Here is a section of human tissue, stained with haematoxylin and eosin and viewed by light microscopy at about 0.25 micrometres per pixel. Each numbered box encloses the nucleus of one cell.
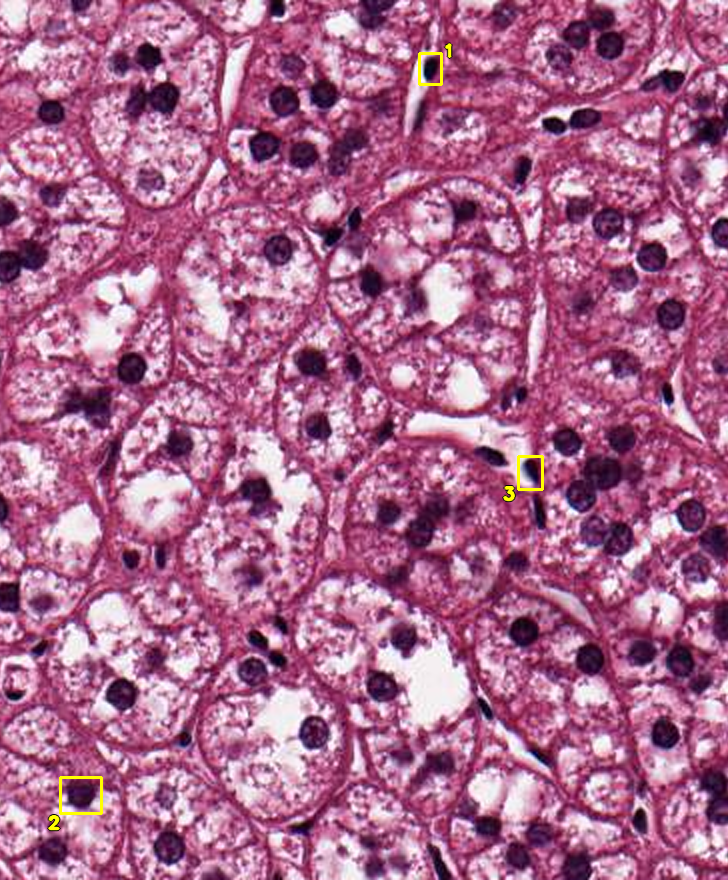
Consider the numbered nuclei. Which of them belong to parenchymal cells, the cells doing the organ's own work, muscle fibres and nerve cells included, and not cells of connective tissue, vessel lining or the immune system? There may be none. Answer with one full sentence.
There is one marked nucleus of a parenchymal cell, and that is nucleus 2.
